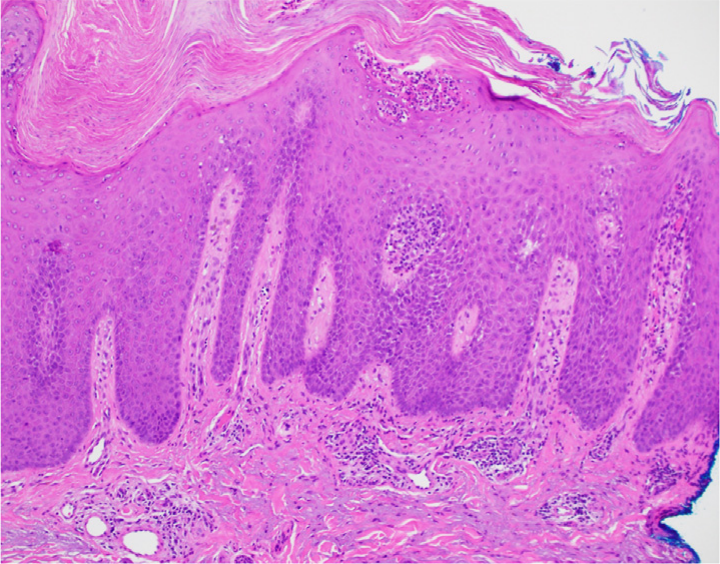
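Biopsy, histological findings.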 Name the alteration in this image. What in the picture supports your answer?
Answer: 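The epidermis is markedly thickened. Long, regular rete ridges extend down into the dermis. So: epidermal acanthosis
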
